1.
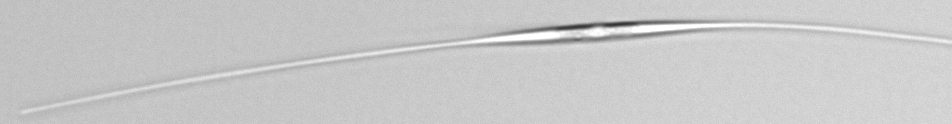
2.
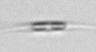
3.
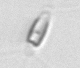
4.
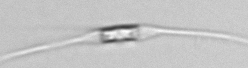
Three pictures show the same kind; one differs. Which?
Picture 3: Chrysochromulina parkeae, while the others are Cylindrotheca.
